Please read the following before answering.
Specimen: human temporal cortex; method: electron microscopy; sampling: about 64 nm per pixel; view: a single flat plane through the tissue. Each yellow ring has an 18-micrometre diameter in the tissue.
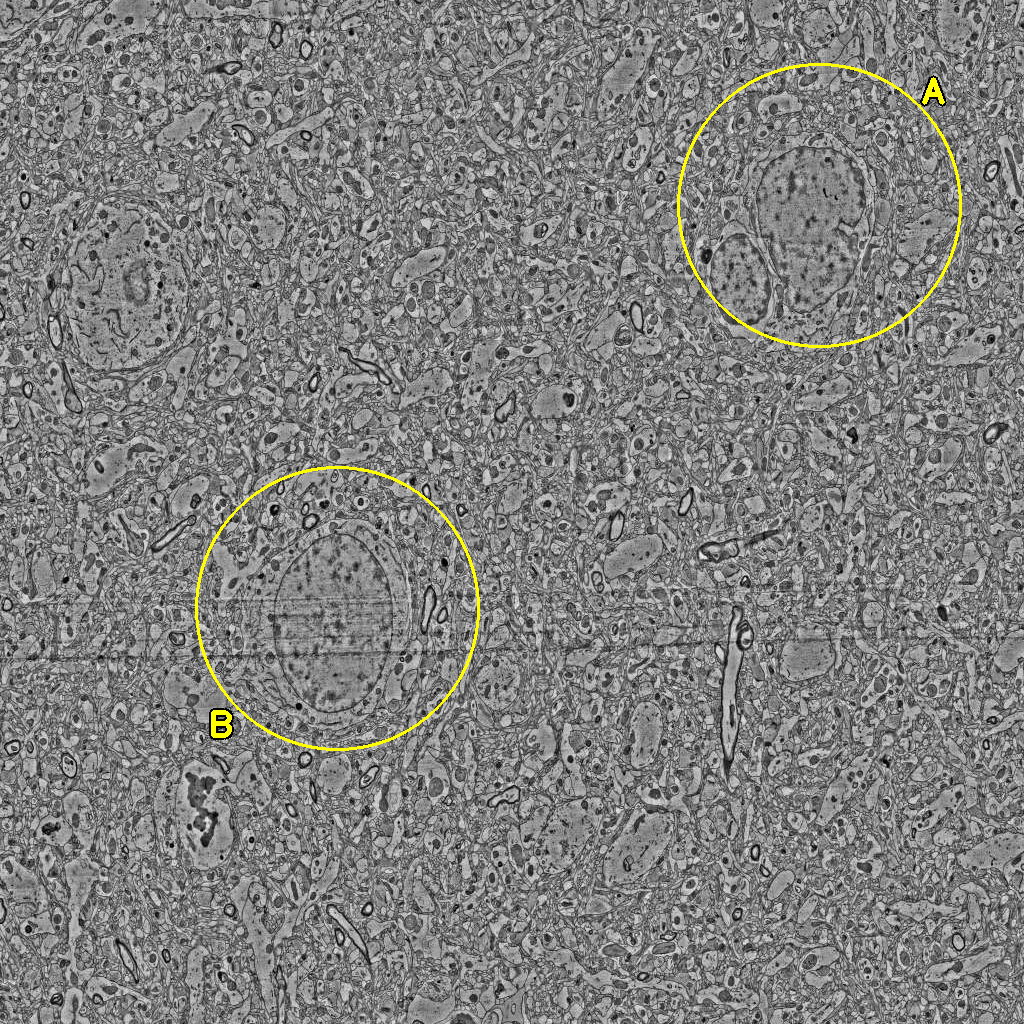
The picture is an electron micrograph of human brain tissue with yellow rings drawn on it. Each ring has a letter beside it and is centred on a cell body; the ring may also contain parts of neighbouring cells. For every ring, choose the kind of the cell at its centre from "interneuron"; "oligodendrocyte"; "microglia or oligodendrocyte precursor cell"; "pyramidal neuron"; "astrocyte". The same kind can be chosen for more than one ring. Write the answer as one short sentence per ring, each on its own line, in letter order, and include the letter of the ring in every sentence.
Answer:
The kind of cell at the centre of ring A is an interneuron.
The kind of cell at the centre of ring B is a pyramidal neuron.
